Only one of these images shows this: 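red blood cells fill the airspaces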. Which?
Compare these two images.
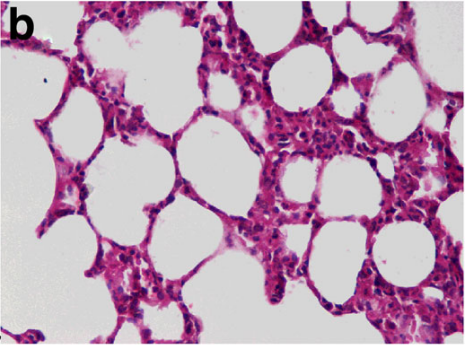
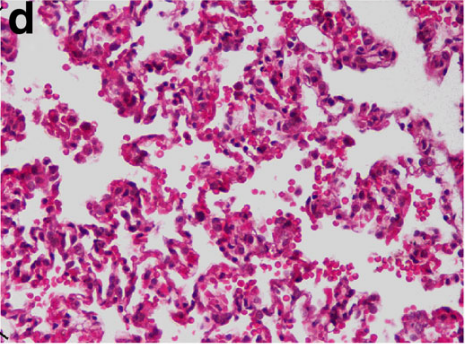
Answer: the second image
